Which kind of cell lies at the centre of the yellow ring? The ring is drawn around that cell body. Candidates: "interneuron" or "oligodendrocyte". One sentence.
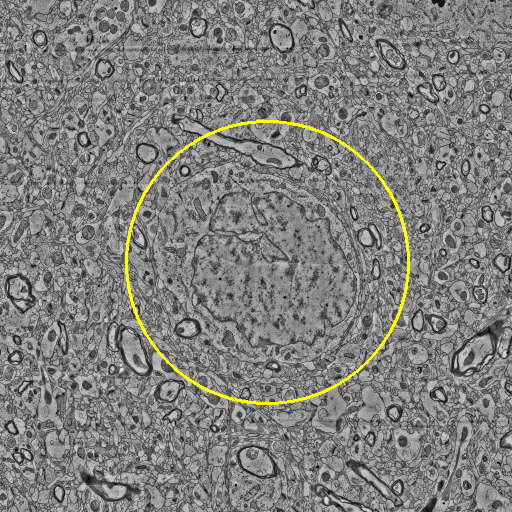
Lying at the centre of the ring is an interneuron.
